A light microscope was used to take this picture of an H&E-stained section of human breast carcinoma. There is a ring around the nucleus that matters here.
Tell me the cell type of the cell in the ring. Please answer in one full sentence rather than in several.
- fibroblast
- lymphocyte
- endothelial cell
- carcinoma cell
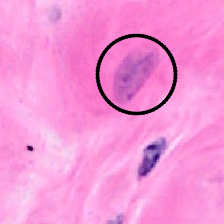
By cell type, the cell in the ring is a fibroblast.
